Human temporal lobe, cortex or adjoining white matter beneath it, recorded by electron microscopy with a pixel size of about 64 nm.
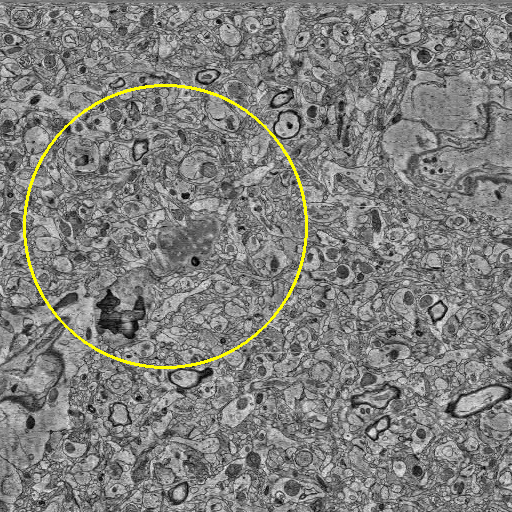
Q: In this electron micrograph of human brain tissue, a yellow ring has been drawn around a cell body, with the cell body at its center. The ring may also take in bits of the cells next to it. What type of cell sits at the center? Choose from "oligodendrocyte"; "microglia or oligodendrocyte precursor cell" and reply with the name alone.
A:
oligodendrocyte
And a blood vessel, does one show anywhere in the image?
Yes, a blood vessel is present in this picture.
